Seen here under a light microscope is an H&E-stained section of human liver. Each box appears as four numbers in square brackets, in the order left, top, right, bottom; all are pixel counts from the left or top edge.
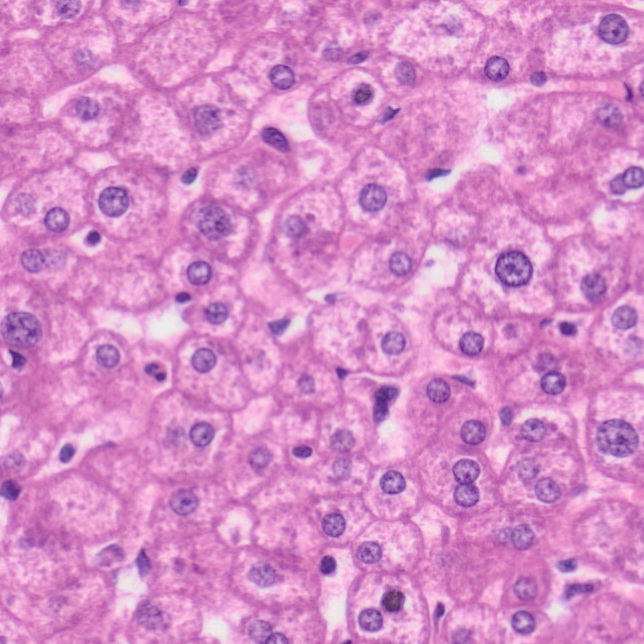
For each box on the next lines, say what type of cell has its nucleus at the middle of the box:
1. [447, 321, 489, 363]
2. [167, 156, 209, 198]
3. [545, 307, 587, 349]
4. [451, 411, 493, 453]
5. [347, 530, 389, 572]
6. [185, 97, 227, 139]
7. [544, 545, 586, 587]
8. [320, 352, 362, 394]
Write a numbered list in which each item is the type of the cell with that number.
1. hepatocyte
2. lymphocyte
3. lymphocyte
4. hepatocyte
5. hepatocyte
6. hepatocyte
7. lymphocyte
8. fibroblast or stellate cell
